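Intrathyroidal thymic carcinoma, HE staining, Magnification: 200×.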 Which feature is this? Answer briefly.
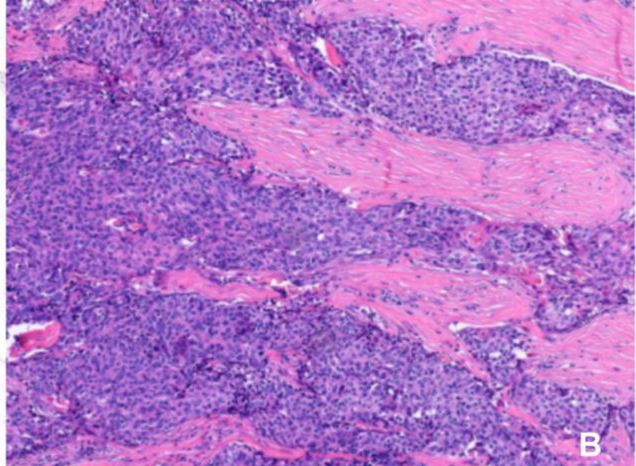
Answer: Dense fibrous tissue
